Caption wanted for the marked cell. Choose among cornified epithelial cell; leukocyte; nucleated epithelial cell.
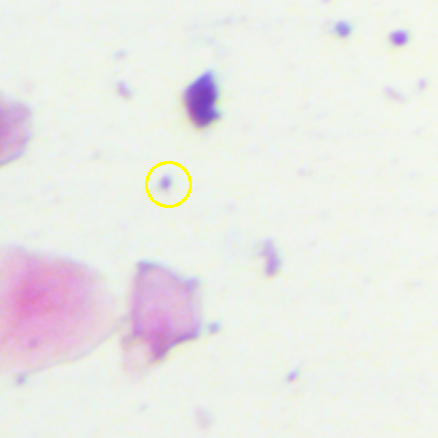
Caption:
Ringed in yellow is a leukocyte.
